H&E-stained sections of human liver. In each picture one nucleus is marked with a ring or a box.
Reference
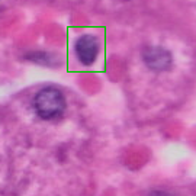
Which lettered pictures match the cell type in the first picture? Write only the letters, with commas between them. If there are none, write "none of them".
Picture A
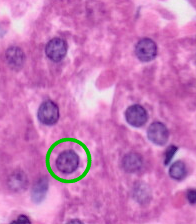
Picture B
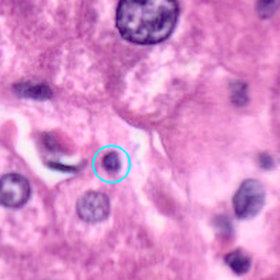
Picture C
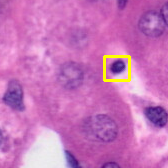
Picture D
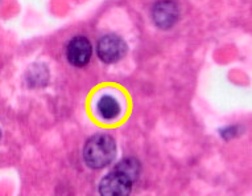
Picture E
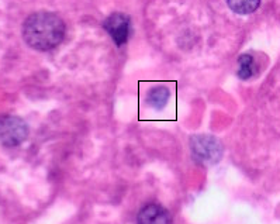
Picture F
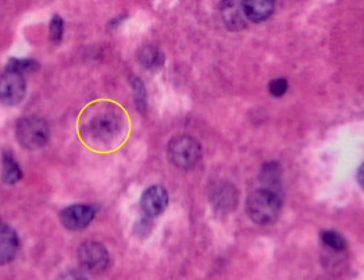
B, C, D, E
